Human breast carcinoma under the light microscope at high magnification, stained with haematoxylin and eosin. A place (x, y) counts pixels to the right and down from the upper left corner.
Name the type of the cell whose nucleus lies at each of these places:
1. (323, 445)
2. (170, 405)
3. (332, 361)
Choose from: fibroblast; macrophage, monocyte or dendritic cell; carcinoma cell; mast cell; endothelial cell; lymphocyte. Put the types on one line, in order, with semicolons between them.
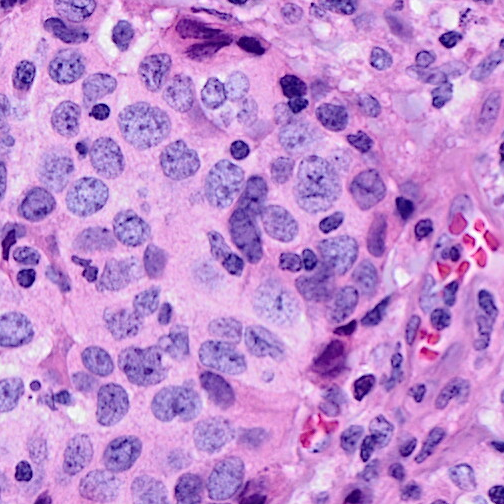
endothelial cell; carcinoma cell; carcinoma cell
